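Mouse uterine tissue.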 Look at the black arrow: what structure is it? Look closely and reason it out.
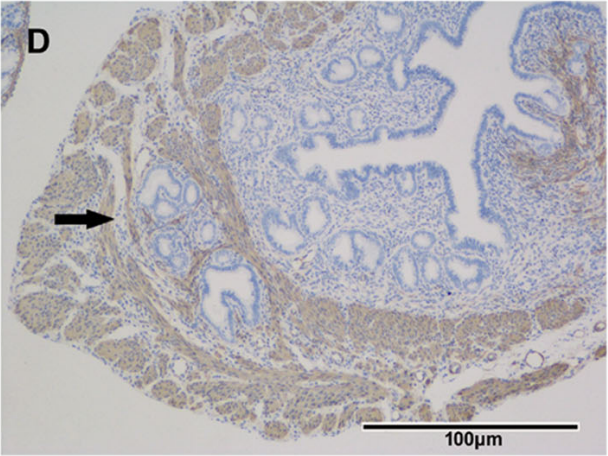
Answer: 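The arrow points beside unstained glands with open lumens. These glands lie among the brown-stained muscle layer at the outer edge.
Conclusion: Endometrial glands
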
